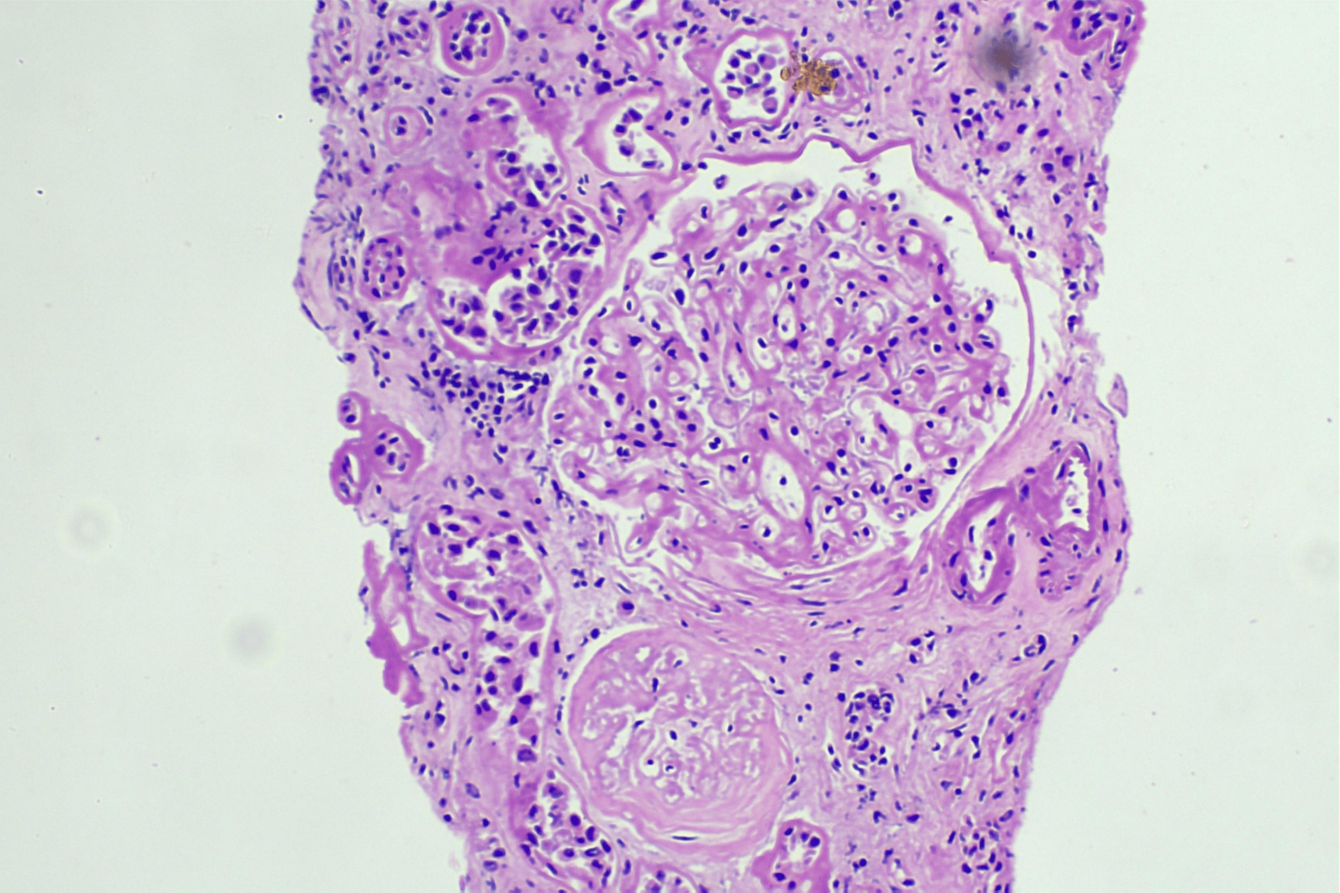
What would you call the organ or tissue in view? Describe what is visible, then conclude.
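A large round glomerular tuft lies within a capsule with a clear space around it. A second rounded, pale, glomerulus-like structure lies below it. Tubule cross-sections surround both. That points to this answer: renal cortex.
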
